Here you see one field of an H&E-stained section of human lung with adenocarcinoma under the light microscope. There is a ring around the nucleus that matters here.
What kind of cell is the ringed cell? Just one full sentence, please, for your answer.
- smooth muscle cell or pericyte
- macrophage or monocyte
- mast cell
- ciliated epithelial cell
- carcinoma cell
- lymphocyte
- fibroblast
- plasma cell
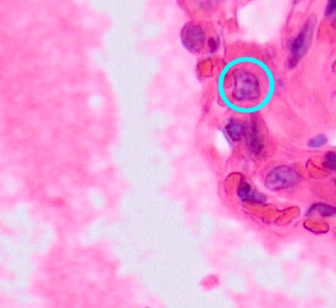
By its classification, the ringed cell is a macrophage or monocyte.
